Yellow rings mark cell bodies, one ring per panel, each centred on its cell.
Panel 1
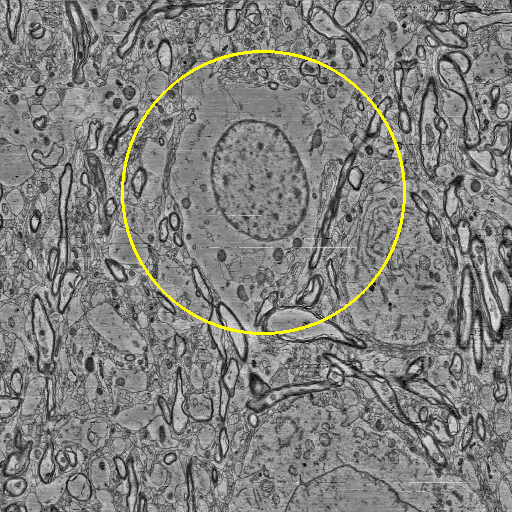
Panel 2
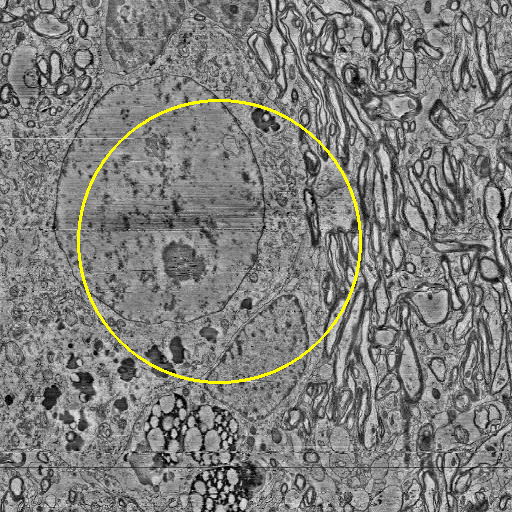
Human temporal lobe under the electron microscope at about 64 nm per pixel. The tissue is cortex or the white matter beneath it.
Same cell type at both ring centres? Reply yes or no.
no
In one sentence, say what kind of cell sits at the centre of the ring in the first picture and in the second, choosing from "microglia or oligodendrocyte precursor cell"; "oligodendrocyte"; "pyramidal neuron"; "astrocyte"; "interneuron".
The first picture's ringed cell is an astrocyte, while the second picture's is a pyramidal neuron.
